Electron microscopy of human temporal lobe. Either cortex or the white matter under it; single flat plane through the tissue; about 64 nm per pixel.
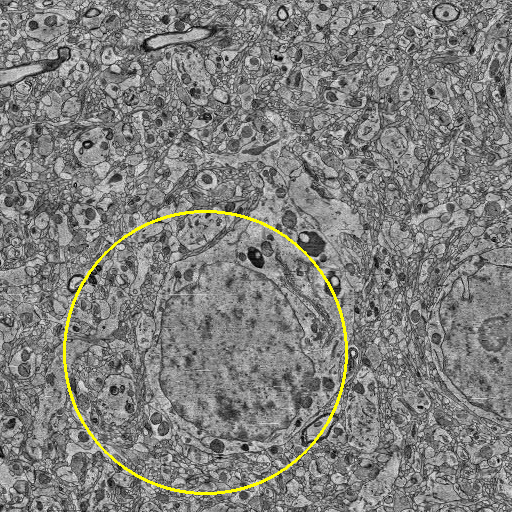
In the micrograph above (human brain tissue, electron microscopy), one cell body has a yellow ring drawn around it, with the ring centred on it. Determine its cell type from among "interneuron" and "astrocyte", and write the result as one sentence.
The cell whose body is ringed is an interneuron.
